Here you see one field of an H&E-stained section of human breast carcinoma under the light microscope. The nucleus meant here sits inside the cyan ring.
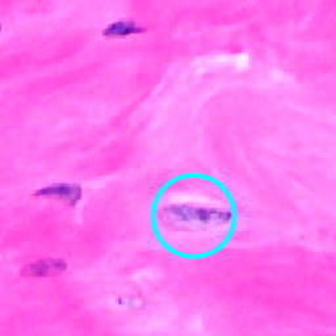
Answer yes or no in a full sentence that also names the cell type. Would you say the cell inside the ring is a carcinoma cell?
No, mate, the cell inside the ring is a fibroblast rather than a carcinoma cell.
